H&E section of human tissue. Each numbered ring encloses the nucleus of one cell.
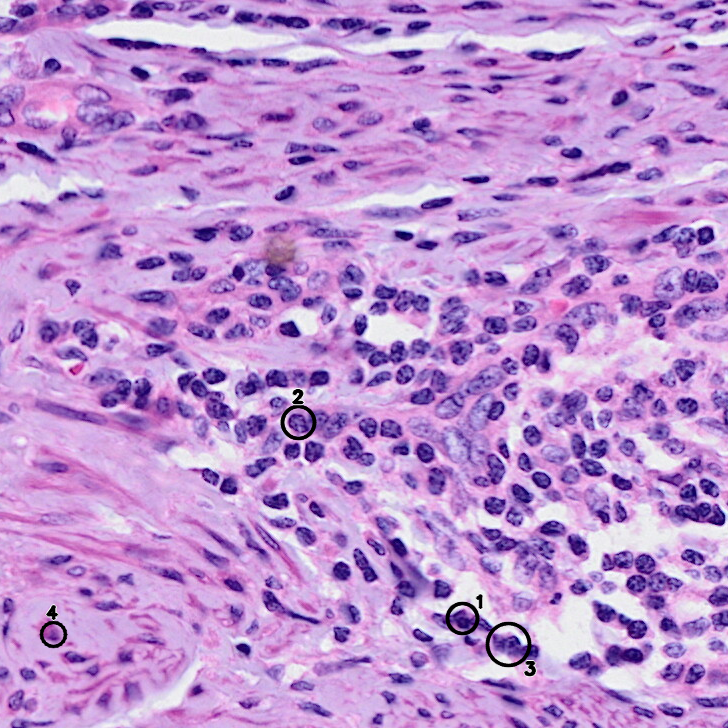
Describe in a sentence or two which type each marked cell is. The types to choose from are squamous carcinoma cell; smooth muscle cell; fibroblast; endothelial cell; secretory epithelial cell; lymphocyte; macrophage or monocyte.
Cells 1, 2 and 3 are lymphocytes. Cell 4 is a smooth muscle cell.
